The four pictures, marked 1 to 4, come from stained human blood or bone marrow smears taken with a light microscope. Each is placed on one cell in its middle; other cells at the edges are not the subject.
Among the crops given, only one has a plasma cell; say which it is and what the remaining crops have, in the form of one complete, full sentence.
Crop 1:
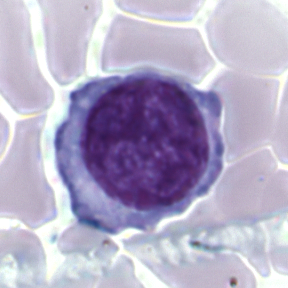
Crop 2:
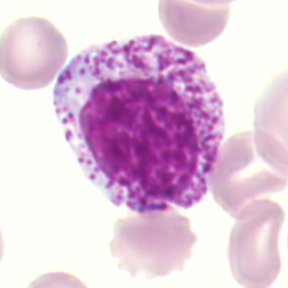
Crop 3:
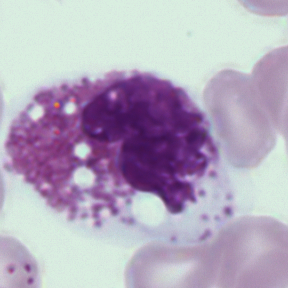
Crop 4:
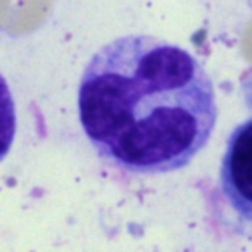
In crop 1 there is a plasma cell, while crop 2 is a myelocyte, crop 3 is an eosinophil and crop 4 is a monocyte.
